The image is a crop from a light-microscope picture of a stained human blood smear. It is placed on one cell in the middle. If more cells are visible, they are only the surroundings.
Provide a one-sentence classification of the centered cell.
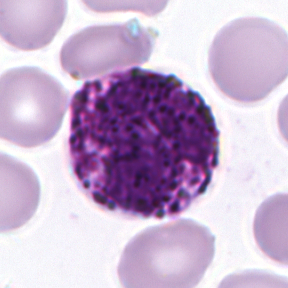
The centrally located cell in the crop is a basophil.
